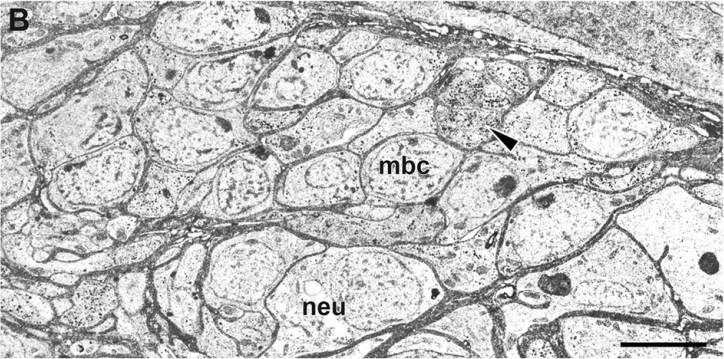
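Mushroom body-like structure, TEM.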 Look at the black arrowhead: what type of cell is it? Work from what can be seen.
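Granule-rich cell. The marked cell's cytoplasm is densely filled with small dark dots. Neighbouring cells have paler cytoplasm with fewer dark dots.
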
